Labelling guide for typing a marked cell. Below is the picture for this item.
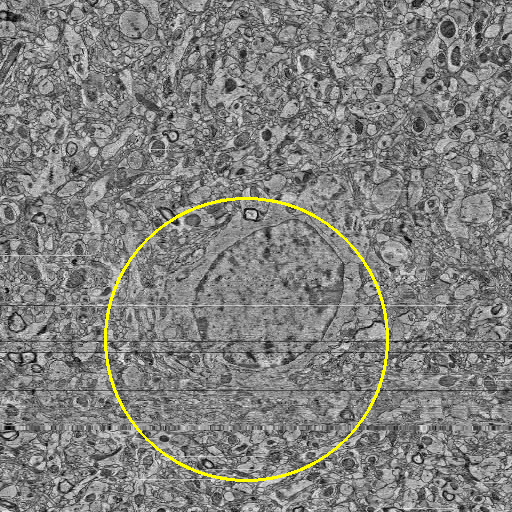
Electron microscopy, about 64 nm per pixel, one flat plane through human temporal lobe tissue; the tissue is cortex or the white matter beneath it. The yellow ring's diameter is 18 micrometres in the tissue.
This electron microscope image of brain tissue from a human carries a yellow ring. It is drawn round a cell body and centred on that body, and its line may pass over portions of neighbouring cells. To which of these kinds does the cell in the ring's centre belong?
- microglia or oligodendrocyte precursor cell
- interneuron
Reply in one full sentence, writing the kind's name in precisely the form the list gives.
Here we have a microglial cell or oligodendrocyte precursor cell at the centre of the yellow ring in the picture.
